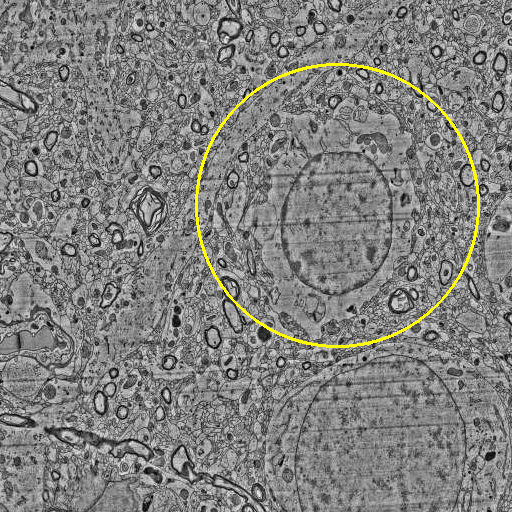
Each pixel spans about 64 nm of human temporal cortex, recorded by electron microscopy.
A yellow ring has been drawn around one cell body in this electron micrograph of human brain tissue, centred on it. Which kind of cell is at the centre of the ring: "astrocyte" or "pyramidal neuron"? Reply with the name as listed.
astrocyte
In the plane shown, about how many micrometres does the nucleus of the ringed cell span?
About 9 micrometres by about 7 micrometres in this plane.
